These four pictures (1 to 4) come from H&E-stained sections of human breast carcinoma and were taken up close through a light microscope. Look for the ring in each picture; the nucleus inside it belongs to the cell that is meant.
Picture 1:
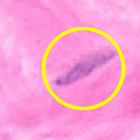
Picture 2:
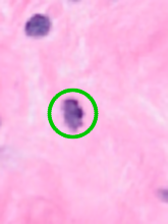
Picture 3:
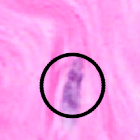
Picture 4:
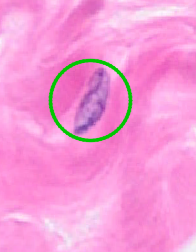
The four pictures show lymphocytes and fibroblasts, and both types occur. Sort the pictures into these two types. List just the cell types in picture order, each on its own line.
fibroblast
lymphocyte
fibroblast
fibroblast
